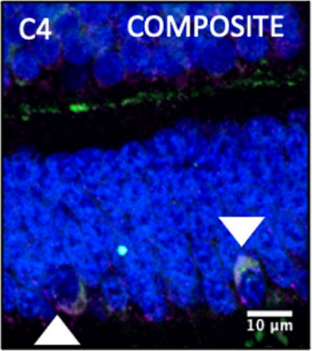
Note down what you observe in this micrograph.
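This is a section through retinal layers showing a thick band of densely packed round nuclei in blue, with a thinner band of larger nuclei at the top separated by a dark gap. A faint thin green line runs across the dark gap between the two nuclear bands. Within the lower part of the thick nuclear band, a few cells show green and magenta together around their nuclei, outlining small rounded cell bodies. Most of the other nuclei in the band are unlabelled apart from blue. A small bright round dot lies within the thick band towards its middle.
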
